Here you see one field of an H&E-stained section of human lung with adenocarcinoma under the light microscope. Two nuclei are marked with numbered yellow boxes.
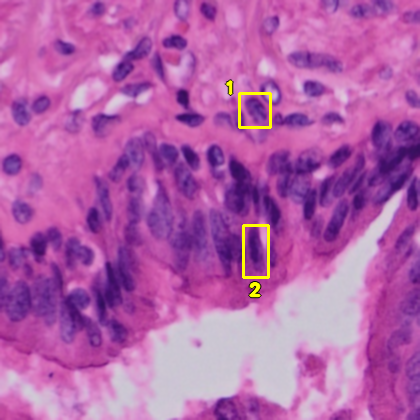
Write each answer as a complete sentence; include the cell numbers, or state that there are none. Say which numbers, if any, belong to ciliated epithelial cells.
With the exception of cell 2, no marked cell is a ciliated epithelial cell.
